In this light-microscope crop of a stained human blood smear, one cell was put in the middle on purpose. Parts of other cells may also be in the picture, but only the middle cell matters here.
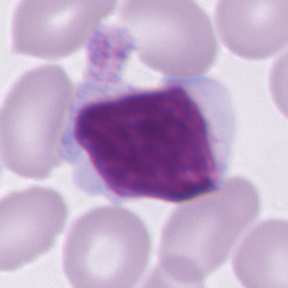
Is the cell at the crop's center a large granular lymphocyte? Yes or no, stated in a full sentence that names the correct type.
Yes, the cell found in the middle is a large granular lymphocyte.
